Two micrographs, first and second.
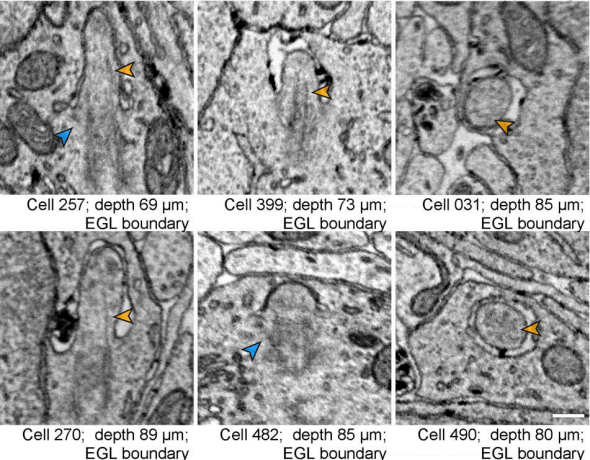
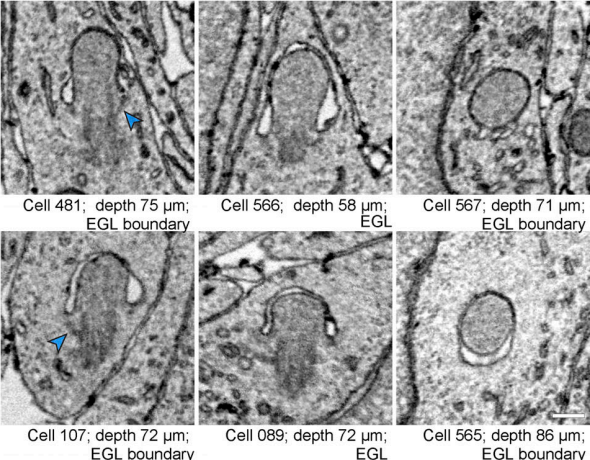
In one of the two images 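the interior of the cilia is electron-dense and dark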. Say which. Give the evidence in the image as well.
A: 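First image: the cilium interiors are pale with visible longitudinal lines. Second image: the cilium interiors are uniformly grey-dark and granular.
Hence: the second image.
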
